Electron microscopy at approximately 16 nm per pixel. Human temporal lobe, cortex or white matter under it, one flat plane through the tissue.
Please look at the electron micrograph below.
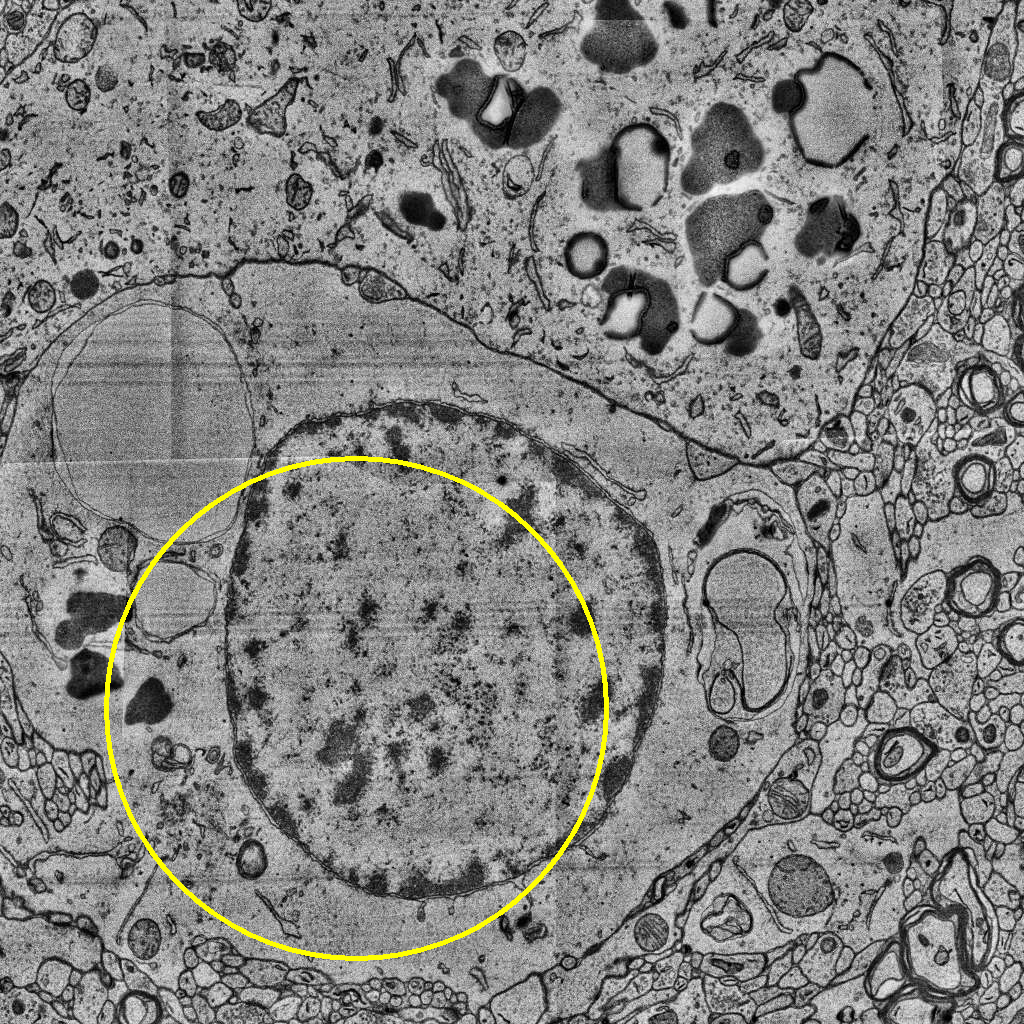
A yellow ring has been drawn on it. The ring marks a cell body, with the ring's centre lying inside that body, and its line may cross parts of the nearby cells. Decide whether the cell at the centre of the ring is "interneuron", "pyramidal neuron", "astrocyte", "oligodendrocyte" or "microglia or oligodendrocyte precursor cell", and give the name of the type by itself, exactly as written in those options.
astrocyte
